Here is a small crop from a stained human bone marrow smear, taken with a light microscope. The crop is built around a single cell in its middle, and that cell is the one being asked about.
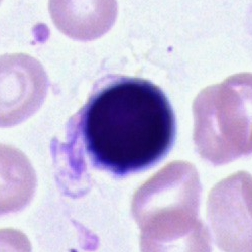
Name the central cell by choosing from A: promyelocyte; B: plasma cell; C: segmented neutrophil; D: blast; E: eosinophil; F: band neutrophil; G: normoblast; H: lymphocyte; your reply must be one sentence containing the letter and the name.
The cell in the middle is a lymphocyte, and so option H is correct.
